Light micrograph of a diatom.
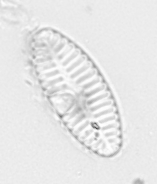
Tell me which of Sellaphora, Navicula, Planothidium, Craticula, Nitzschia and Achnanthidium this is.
The picture shows Planothidium.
